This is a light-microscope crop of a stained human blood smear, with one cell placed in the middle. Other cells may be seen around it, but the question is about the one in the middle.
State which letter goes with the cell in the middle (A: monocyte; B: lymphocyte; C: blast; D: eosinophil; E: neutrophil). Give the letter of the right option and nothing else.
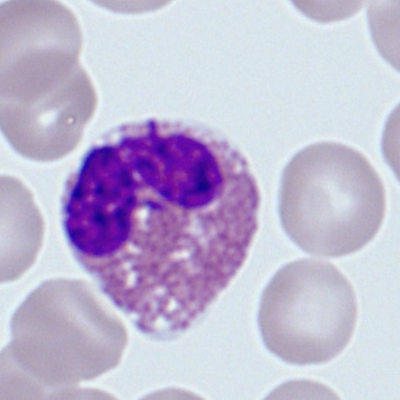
D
